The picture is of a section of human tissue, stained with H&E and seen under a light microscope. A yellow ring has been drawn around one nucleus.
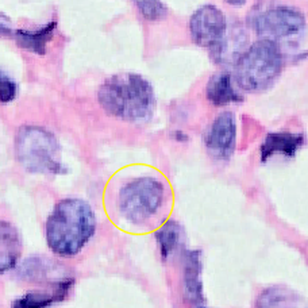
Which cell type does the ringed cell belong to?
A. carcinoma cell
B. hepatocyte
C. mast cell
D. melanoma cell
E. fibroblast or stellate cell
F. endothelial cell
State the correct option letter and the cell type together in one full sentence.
Looking at the options, pick A; the ringed cell is a carcinoma cell.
